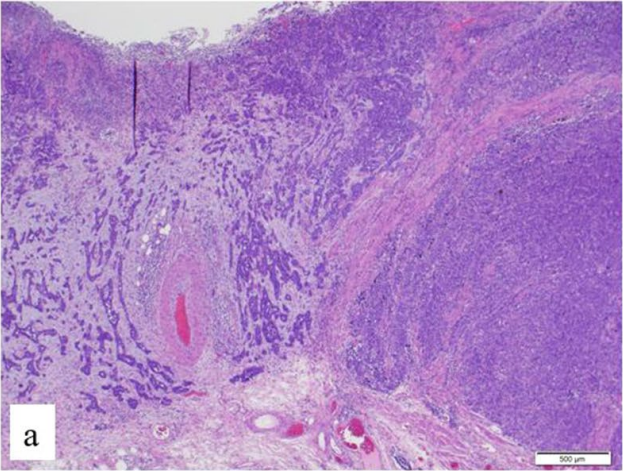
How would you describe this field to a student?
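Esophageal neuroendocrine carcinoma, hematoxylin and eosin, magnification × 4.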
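On the left the tumor forms thin branching purple cords and small nests set in pale, loose stroma, resembling an adenoid cystic-like arrangement. On the right it forms broad, solid, dark purple sheets separated by pink fibrous bands. A thick-walled blood vessel filled with red blood cells lies among the cords on the left.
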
